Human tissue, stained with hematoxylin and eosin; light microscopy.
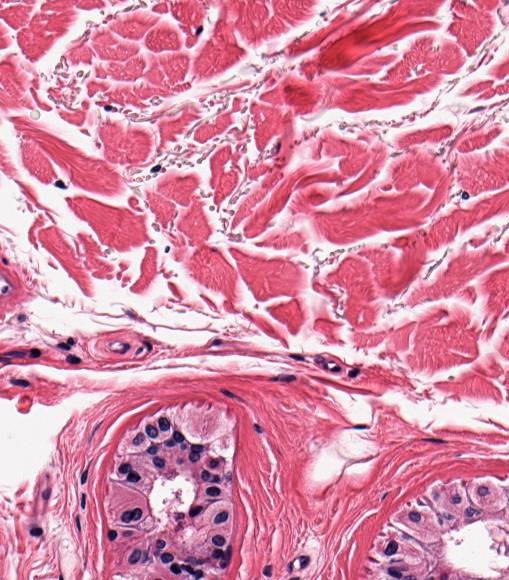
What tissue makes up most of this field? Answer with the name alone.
dermis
